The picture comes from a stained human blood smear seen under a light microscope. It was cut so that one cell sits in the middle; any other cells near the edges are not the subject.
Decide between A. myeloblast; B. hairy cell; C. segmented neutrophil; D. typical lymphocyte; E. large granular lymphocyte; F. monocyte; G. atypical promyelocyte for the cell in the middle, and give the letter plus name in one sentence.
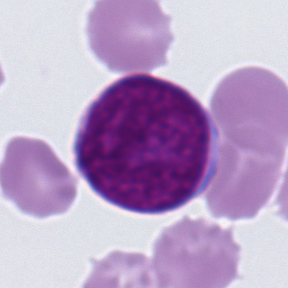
What sits in the middle of the crop is a myeloblast, and option A is correct.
